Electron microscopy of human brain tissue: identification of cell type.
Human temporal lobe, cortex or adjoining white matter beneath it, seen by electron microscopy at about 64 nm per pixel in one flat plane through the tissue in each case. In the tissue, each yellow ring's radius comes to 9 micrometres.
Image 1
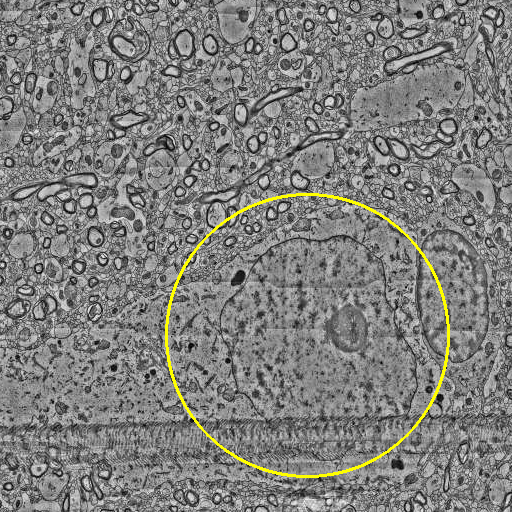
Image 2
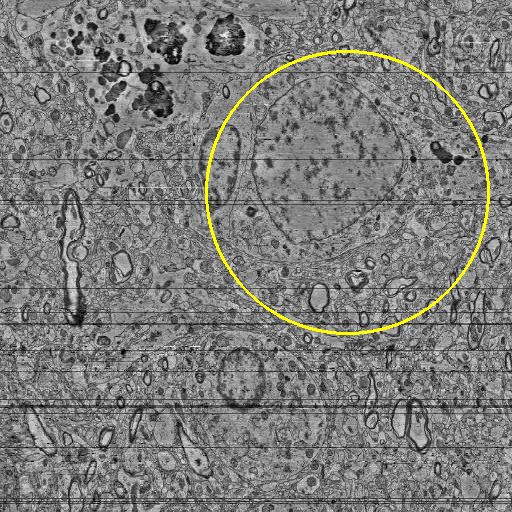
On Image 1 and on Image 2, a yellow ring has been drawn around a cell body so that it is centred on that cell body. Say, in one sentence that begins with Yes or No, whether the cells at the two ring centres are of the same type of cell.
Yes, both cells are the same type of cell.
